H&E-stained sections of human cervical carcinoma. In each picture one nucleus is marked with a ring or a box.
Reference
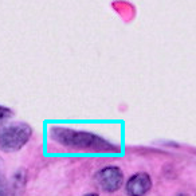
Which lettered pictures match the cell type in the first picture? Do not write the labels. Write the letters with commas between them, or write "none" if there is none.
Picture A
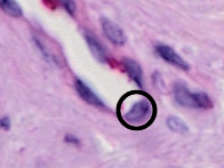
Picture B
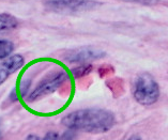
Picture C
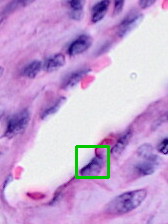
A, B, C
